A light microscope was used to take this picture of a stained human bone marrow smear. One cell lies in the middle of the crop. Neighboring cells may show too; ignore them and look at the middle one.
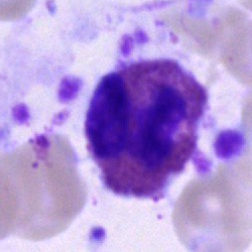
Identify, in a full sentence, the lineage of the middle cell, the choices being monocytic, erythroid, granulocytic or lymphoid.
Lineage field for the centered cell should read granulocytic.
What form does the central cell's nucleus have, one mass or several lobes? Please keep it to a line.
One defining trait here is a nucleus of two or more segments.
